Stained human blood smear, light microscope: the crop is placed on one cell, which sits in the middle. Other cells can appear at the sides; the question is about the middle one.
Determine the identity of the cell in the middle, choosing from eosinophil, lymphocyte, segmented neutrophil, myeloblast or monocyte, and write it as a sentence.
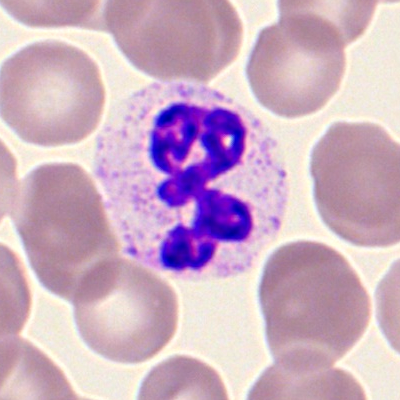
Classification of the middle cell gives a segmented neutrophil.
